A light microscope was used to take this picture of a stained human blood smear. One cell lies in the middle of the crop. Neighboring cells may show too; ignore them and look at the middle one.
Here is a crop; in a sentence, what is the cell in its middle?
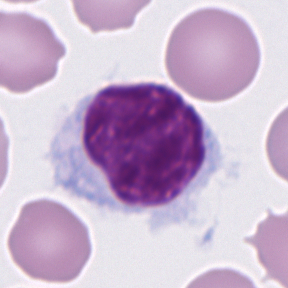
The cell centred in this crop is categorized as a hairy cell.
